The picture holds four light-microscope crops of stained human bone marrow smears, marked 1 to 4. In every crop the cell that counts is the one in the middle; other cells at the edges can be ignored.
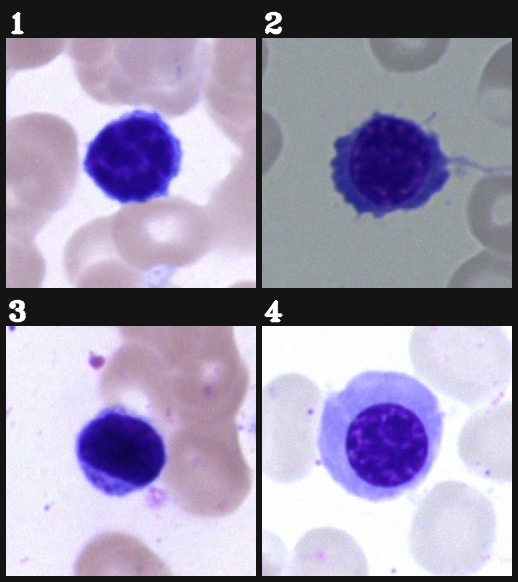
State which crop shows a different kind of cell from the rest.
4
